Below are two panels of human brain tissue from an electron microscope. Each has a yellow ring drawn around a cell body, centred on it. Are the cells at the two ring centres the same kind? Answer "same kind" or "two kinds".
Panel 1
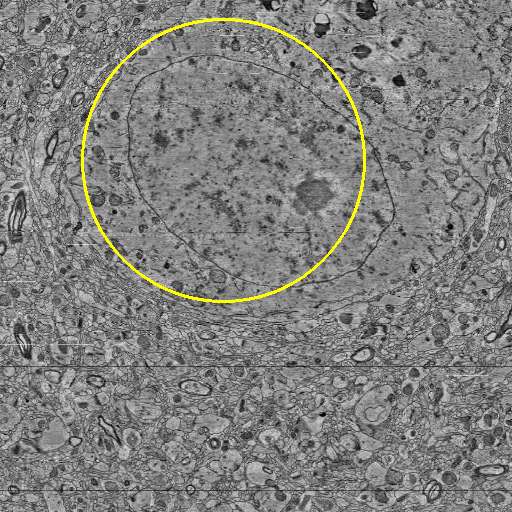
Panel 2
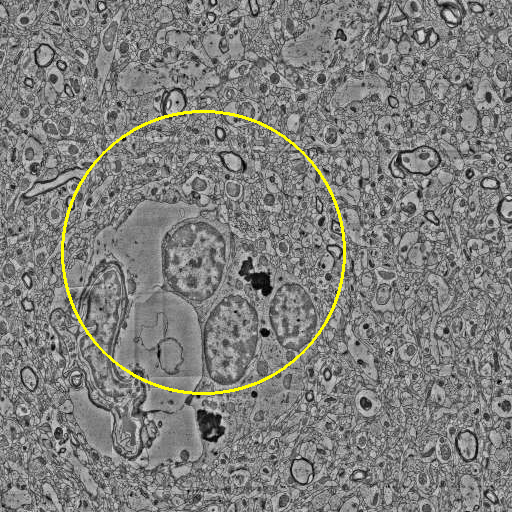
two kinds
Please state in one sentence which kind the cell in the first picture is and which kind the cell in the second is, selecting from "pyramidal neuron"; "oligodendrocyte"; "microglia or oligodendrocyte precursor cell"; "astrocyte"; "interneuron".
The first ringed cell is a pyramidal neuron, the second ringed cell an oligodendrocyte.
